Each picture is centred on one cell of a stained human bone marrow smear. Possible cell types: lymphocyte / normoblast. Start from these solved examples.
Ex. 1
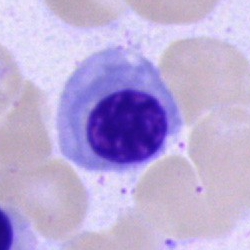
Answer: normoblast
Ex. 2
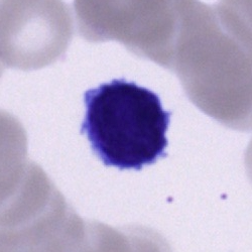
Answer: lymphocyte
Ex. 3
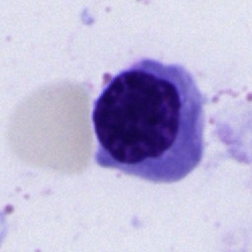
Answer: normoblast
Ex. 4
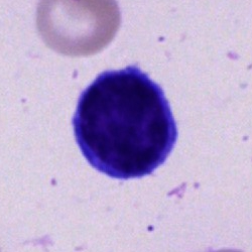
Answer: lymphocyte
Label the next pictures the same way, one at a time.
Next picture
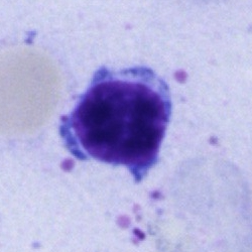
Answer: lymphocyte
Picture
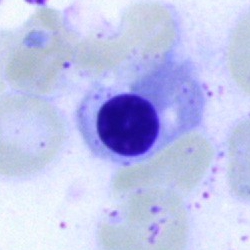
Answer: normoblast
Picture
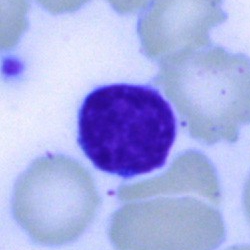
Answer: lymphocyte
